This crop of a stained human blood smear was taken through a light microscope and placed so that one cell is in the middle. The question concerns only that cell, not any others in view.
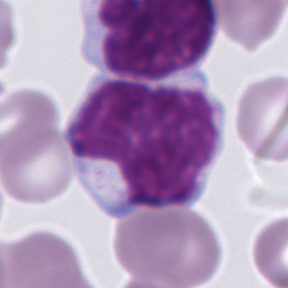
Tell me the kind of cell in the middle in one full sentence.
By classification, the middle cell of this crop is a large granular lymphocyte.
